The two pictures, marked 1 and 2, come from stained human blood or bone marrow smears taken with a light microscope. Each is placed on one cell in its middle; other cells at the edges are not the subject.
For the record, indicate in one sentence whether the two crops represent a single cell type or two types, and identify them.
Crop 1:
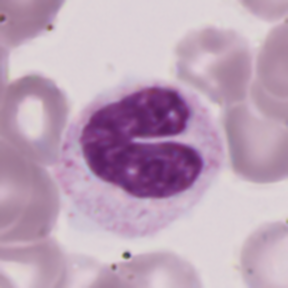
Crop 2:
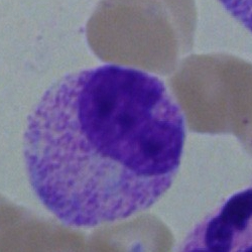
No, on this set crop 1 shows a band neutrophil and crop 2 shows a metamyelocyte.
